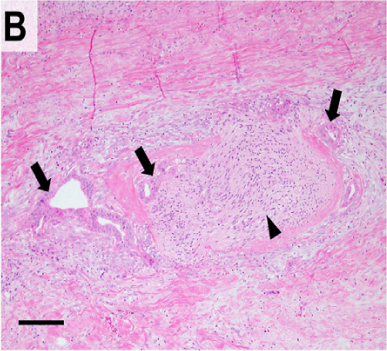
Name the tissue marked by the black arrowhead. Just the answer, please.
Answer: neural tissue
